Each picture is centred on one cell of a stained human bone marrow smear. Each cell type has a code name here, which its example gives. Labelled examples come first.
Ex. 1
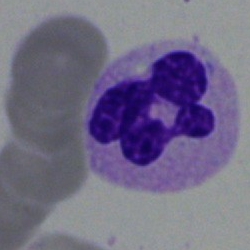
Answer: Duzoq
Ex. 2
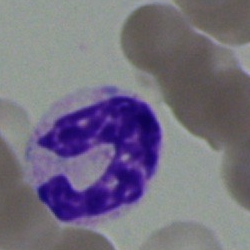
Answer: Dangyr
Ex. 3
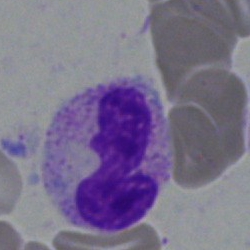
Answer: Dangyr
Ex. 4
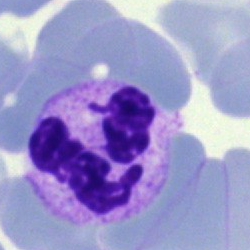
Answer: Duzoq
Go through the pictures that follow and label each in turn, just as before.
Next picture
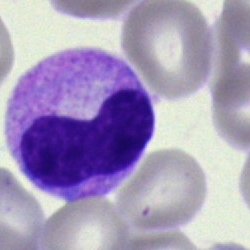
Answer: Dangyr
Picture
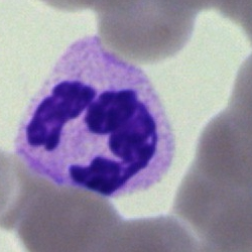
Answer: Duzoq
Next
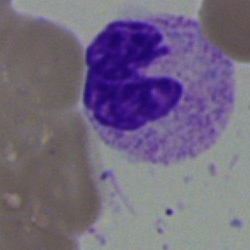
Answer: Dangyr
